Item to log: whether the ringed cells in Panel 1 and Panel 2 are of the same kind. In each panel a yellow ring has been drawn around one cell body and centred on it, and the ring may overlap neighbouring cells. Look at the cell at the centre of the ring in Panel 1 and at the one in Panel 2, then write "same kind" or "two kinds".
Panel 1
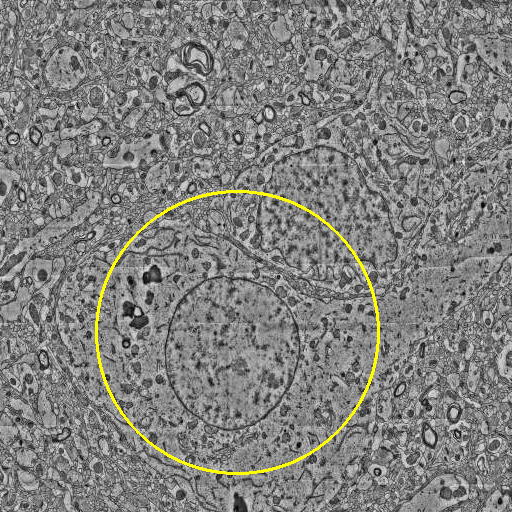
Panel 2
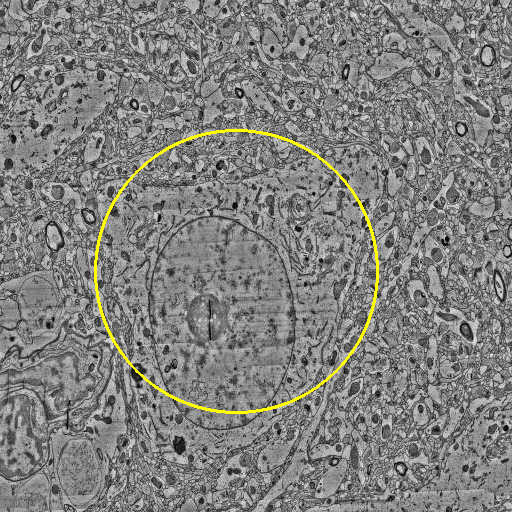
same kind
